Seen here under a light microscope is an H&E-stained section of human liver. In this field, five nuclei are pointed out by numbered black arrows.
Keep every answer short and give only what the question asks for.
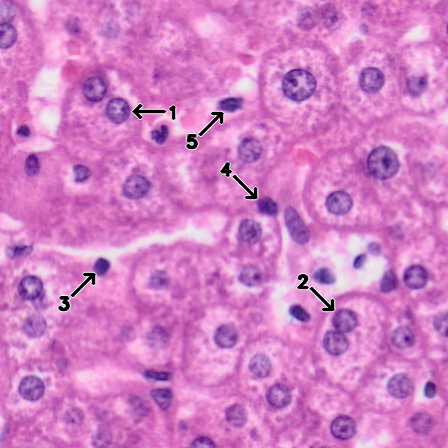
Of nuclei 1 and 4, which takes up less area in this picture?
4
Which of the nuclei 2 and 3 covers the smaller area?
3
